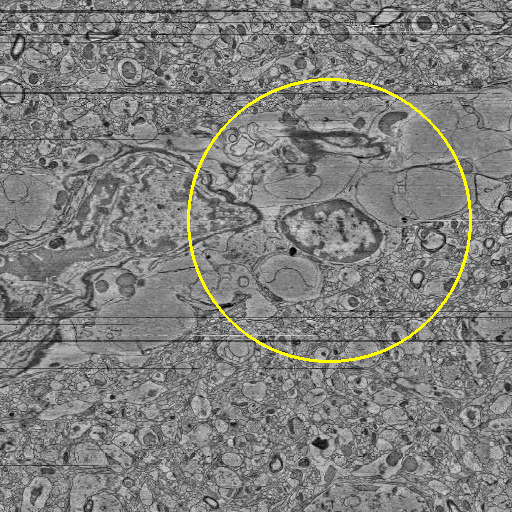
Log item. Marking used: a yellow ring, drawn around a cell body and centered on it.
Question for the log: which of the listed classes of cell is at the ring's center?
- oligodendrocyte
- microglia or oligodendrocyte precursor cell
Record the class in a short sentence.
At the center of the ring lies a microglial cell or oligodendrocyte precursor cell.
